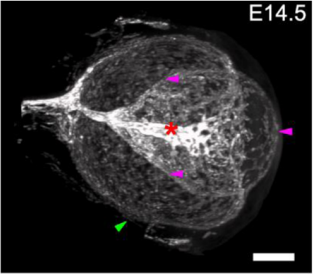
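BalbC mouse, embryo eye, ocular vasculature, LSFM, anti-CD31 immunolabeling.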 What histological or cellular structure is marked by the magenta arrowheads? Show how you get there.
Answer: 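Hyaloid system. A dense vessel network fans out from a single entry point at the back of the eye. The network spreads over the lens region toward the front.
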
